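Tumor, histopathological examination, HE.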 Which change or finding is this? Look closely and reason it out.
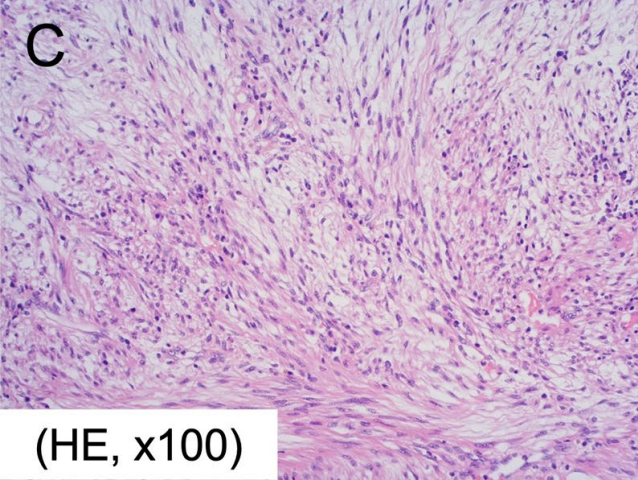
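Pale, loose, wispy stroma separates the cells in parts of the field. Spindle cells lie loosely scattered in the pale background. The answer: myxoid change.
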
